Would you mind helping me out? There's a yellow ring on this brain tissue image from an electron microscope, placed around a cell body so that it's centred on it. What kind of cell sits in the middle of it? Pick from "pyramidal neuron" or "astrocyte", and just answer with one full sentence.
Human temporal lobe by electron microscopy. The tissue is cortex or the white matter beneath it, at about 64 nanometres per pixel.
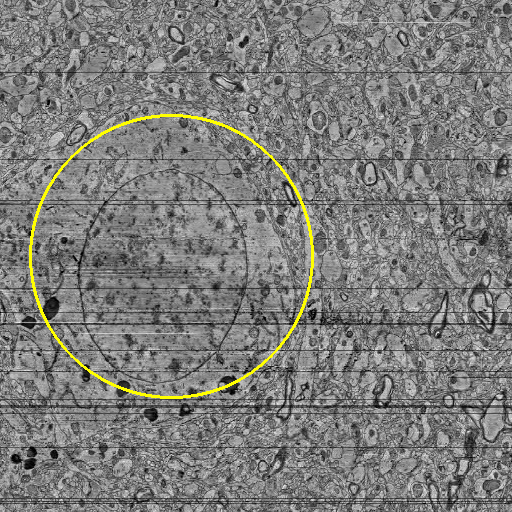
What sits in the middle of that yellow ring is a pyramidal neuron, from your choices.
